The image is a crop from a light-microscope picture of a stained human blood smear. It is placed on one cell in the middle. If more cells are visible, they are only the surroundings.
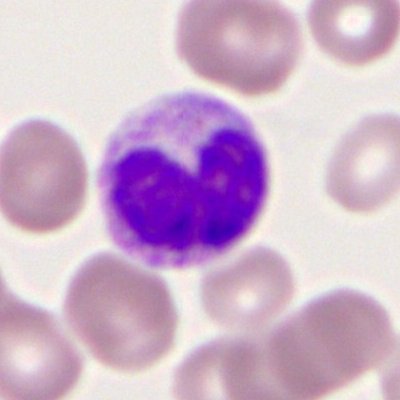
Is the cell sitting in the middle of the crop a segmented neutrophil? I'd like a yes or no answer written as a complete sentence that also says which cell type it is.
No, in this crop the middle cell is a band neutrophil, not a segmented neutrophil.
